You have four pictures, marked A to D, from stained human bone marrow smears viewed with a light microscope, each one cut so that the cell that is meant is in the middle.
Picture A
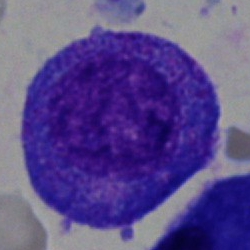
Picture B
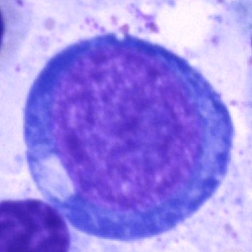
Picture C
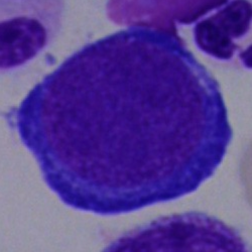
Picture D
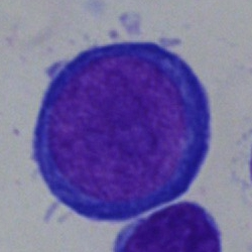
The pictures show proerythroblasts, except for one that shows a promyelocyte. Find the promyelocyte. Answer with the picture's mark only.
A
